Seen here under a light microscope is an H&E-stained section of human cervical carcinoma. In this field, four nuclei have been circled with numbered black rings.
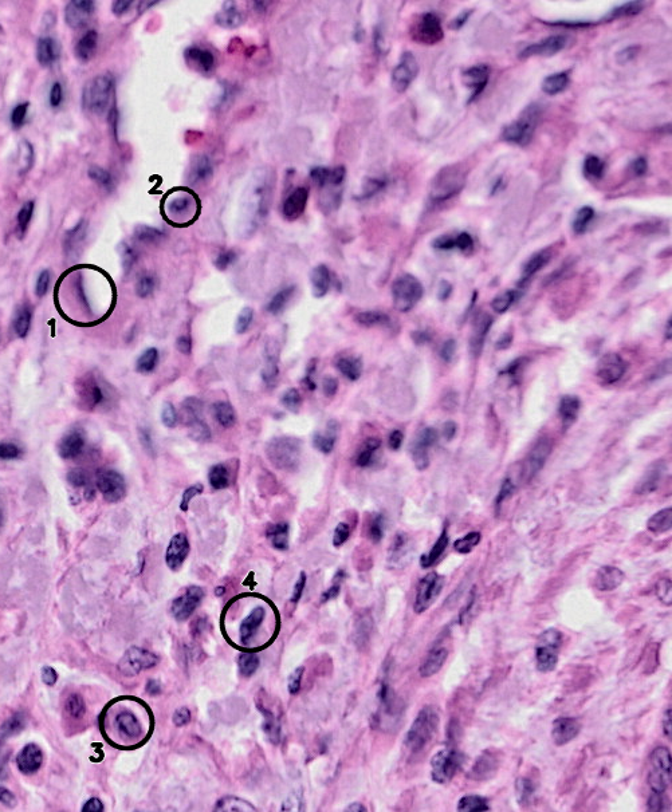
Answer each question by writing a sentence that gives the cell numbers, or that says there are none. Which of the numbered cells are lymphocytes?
Cell 4 is a lymphocyte; no further numbered cell is.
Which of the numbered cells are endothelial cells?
The numbers 1 and 2 refer to cells that are endothelial cells.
